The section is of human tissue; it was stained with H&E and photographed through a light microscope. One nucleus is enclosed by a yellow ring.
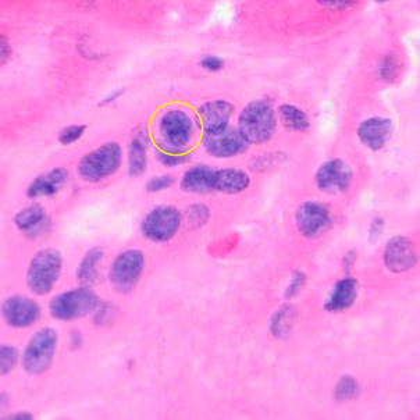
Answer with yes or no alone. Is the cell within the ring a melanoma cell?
no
